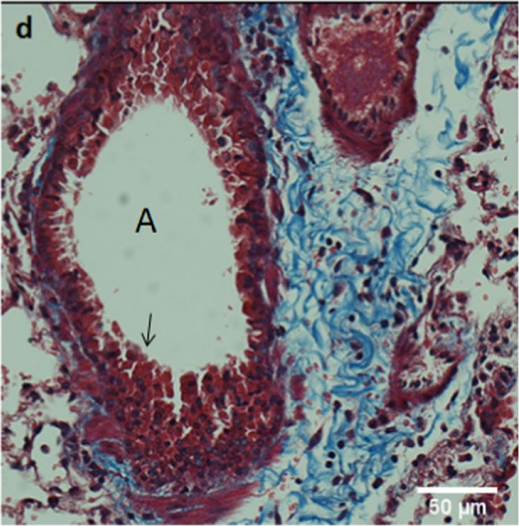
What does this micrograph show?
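Here is lung tissue with an airway and a wide band of connective tissue beside it. The airway is lined by a tall, thick layer of columnar epithelial cells with crowded dark nuclei and red cytoplasm, which the arrow marks. To the right lies a broad field of loose, wavy, interlacing blue fibres, far more than a thin sheath, with scattered dark nuclei of cells lying among them. At the upper right another structure with a red-staining wall borders this blue band, and at the edges of the picture thin-walled alveoli with small nuclei can be made out.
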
